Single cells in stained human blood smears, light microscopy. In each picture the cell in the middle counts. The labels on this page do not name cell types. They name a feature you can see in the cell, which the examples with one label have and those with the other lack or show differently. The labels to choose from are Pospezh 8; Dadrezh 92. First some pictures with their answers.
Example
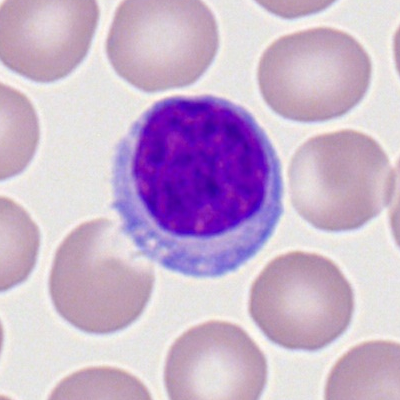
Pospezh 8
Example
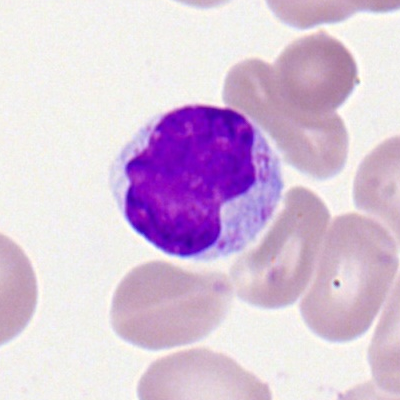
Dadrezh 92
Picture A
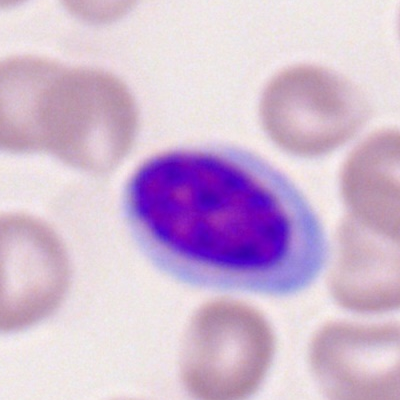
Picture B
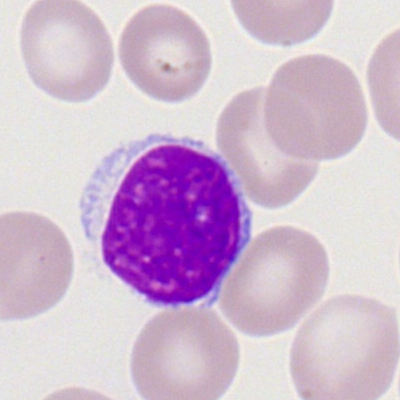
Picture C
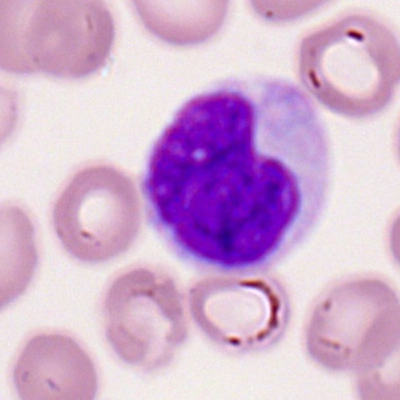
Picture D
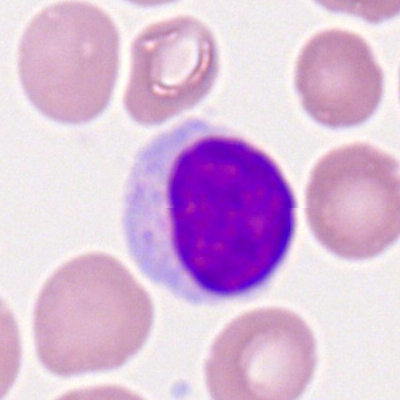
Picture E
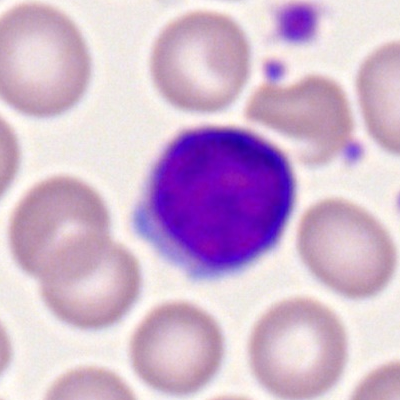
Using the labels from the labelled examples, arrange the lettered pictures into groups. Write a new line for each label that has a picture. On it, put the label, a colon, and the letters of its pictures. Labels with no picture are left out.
Pospezh 8: B
Dadrezh 92: A, C, D, E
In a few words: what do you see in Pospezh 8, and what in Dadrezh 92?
Seen in Pospezh 8: ragged outline or projections; seen in Dadrezh 92: smooth outline.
